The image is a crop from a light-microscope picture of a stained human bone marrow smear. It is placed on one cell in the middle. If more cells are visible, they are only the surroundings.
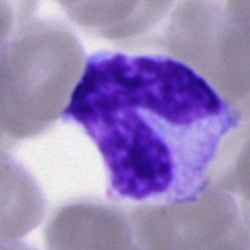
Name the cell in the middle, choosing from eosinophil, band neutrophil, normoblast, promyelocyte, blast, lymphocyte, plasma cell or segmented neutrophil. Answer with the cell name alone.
band neutrophil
